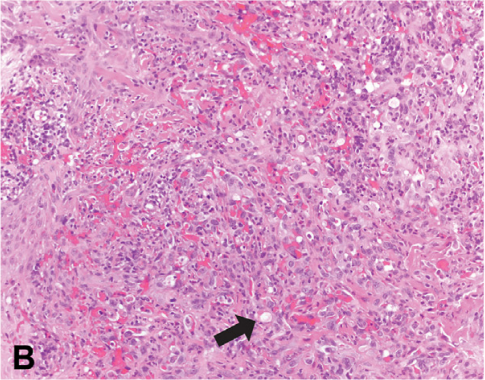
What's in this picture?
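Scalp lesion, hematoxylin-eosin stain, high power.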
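A densely cellular tumor of atypical epithelioid cells is seen, interspersed with many small irregular vascular channels. The channels are slit-like or rounded and many contain bright red blood cells, with some small clear spaces among the cells. Tumor cells have pink cytoplasm and enlarged, pleomorphic nuclei. Clusters of small dark-nucleated inflammatory cells are present, especially at the left. A black arrow points to one small vascular lumen.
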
